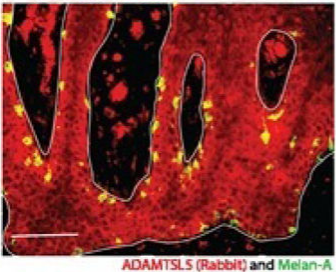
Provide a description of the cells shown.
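The epidermis sends long, broad downward ridges between which narrow, dark finger-like papillae of dermis reach upward, each outlined by a white line. The dark papillae contain a few bright red clumps. Below the lower white line the dermis is dark.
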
